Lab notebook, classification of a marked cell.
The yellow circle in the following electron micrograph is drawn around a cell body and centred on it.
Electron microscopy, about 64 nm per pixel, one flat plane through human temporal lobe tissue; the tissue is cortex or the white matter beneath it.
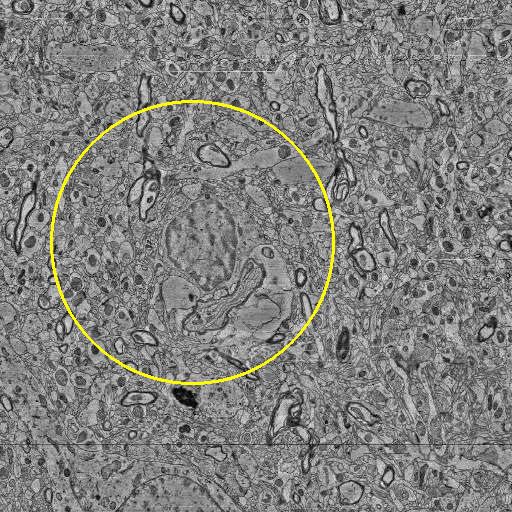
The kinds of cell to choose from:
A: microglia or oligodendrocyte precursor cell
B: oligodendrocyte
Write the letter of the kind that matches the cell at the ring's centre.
B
